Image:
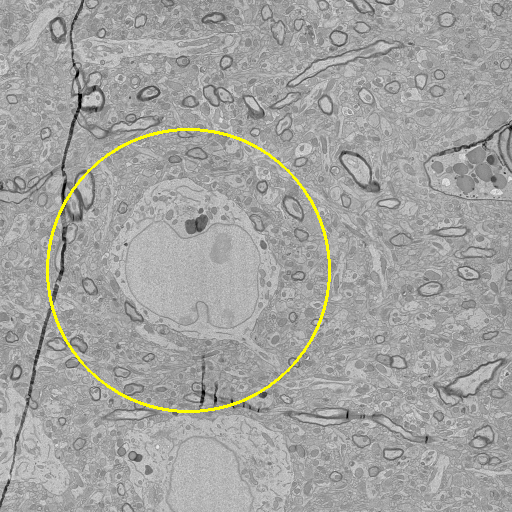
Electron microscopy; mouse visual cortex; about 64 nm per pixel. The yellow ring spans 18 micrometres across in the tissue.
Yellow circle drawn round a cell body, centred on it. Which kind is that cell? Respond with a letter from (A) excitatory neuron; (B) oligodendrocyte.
A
